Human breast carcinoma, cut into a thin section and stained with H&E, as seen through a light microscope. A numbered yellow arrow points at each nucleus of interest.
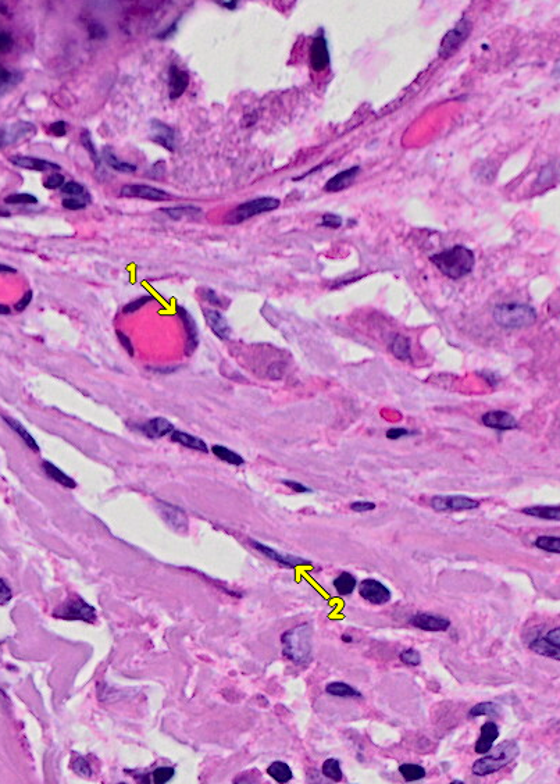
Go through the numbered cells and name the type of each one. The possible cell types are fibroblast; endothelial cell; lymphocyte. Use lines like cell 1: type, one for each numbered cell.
cell 1: endothelial cell
cell 2: fibroblast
